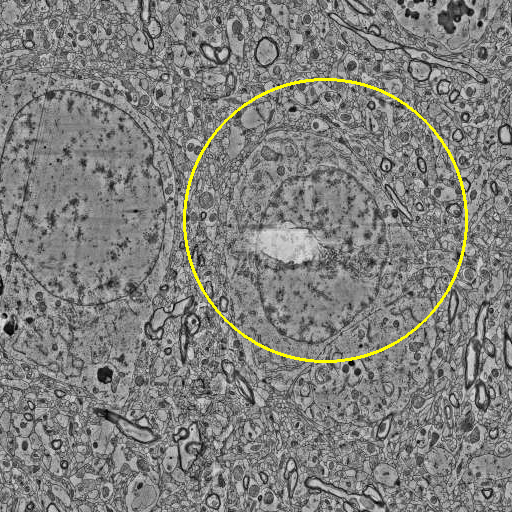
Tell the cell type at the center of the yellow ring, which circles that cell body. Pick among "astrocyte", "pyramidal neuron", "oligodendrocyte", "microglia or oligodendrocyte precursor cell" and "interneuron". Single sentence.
The ring is centered on the body of an interneuron.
